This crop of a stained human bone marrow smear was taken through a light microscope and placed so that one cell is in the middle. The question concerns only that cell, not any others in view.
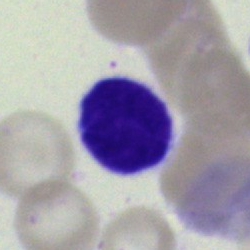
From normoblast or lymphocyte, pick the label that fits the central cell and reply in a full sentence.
This crop's central cell is a lymphocyte.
